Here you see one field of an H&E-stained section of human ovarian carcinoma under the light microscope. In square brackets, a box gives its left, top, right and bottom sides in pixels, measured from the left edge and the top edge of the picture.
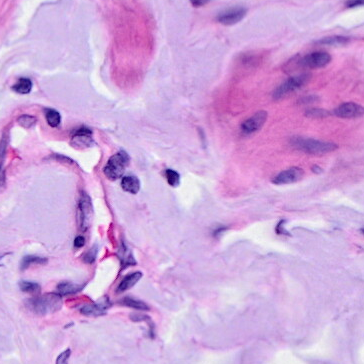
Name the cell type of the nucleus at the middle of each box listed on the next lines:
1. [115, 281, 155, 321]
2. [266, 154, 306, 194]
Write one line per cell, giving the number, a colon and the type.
1: endothelial cell
2: smooth muscle cell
